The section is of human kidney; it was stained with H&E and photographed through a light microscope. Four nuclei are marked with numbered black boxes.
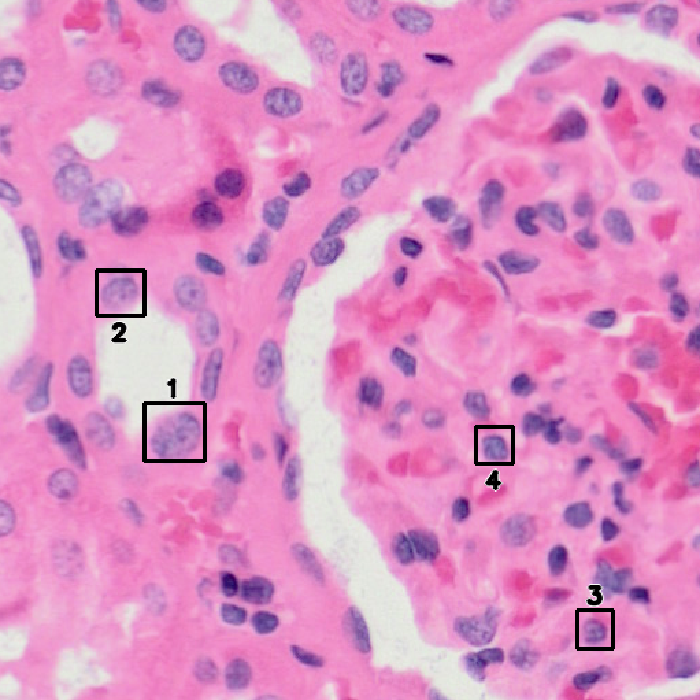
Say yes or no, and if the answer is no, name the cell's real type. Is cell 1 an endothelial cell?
No, it is a collecting duct cell.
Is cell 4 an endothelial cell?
Yes.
